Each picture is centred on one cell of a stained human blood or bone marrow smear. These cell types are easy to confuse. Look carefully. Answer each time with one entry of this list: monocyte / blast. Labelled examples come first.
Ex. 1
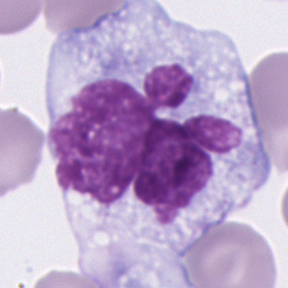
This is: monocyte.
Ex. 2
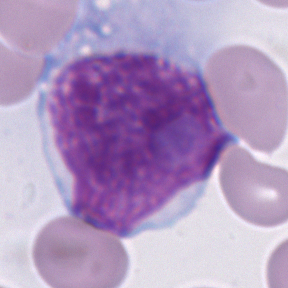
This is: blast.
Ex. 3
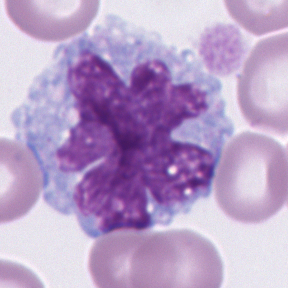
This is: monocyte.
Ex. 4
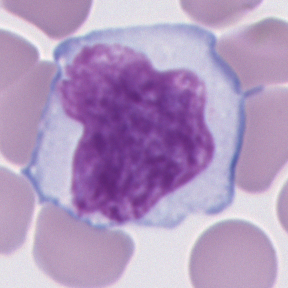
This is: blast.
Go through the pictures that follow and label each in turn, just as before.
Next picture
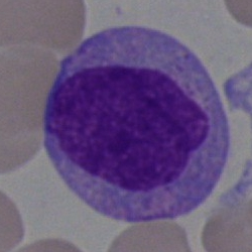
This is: monocyte.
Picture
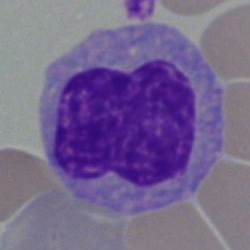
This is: monocyte.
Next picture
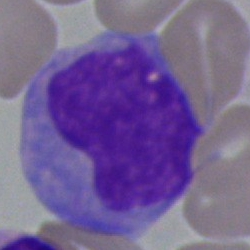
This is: monocyte.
